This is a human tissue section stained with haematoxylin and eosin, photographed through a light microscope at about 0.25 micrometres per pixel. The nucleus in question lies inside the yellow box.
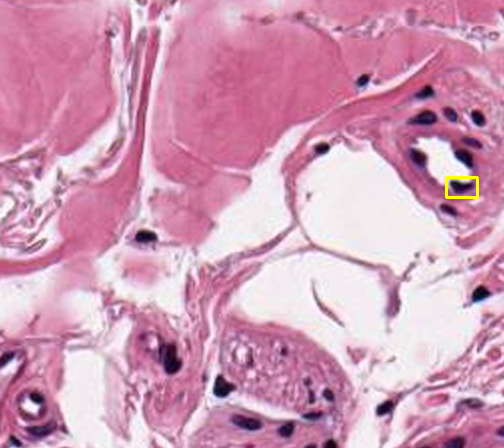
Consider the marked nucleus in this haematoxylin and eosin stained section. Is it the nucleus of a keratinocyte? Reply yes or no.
no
